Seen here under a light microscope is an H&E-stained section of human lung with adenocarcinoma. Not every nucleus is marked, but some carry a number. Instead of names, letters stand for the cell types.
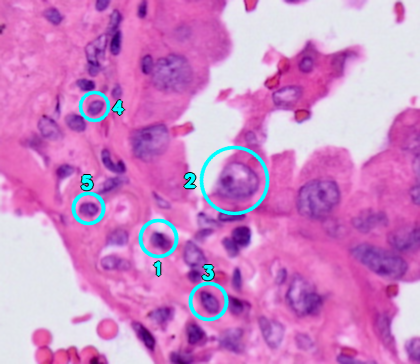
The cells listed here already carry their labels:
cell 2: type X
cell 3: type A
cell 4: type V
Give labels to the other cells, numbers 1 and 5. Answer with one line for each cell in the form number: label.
1: type V
5: type V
